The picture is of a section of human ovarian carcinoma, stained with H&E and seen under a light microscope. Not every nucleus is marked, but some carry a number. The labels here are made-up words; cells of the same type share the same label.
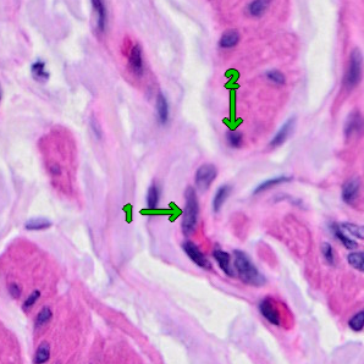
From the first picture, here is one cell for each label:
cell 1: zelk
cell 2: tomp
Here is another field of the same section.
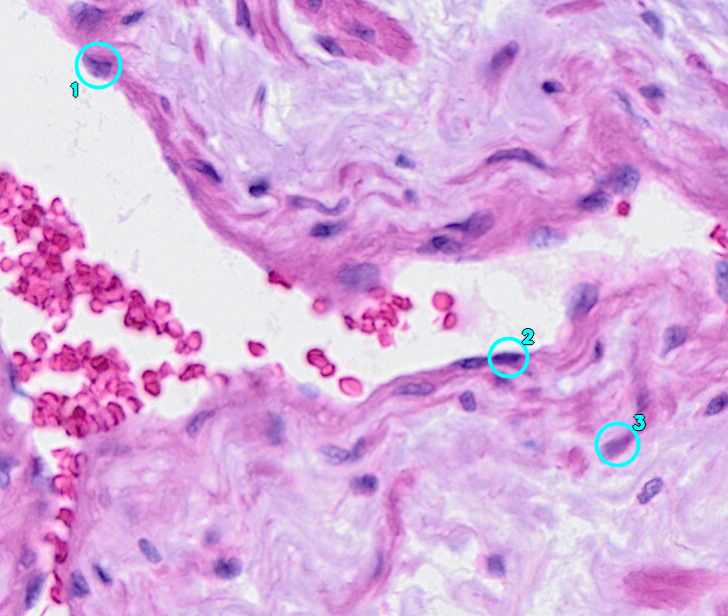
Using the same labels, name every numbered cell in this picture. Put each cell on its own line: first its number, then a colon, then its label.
1: zelk
2: zelk
3: tomp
